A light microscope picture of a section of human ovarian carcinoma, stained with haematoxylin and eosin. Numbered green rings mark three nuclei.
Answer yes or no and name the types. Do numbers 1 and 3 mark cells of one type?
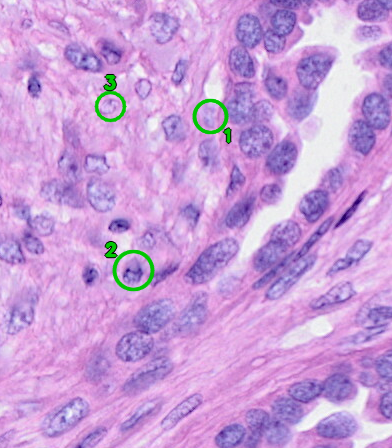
Yes, with respect to identity, cells 1 and 3 are both fibroblasts.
